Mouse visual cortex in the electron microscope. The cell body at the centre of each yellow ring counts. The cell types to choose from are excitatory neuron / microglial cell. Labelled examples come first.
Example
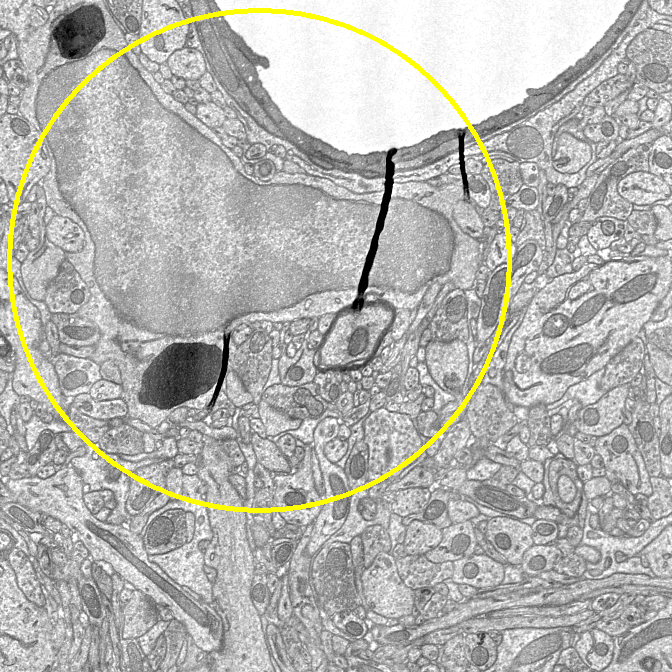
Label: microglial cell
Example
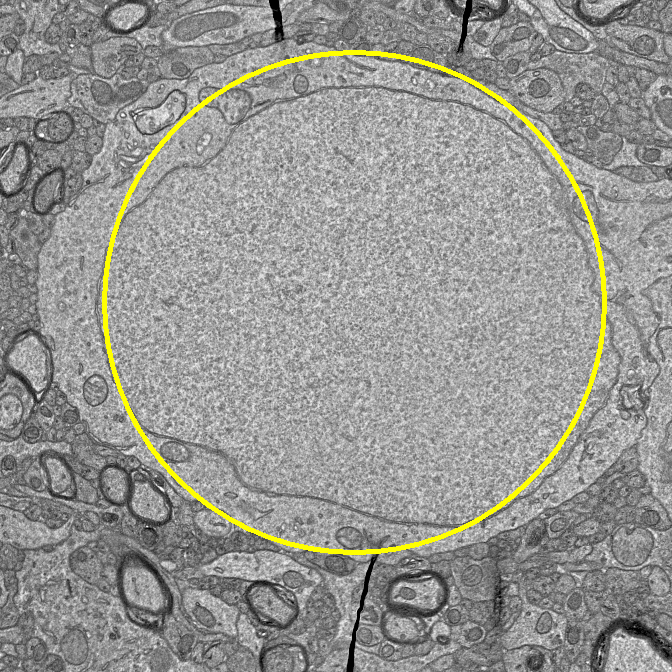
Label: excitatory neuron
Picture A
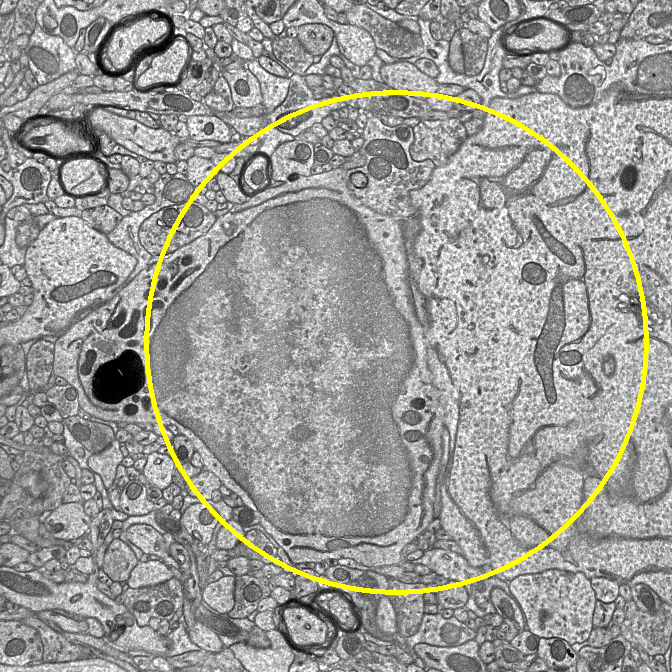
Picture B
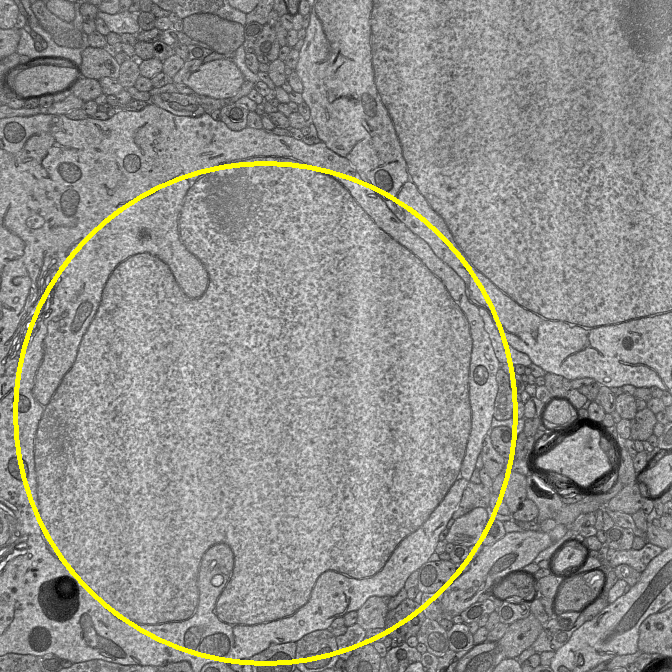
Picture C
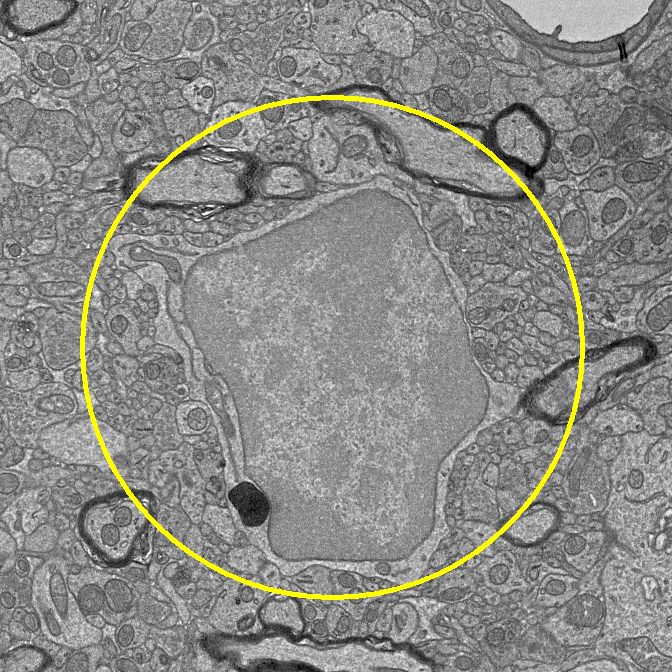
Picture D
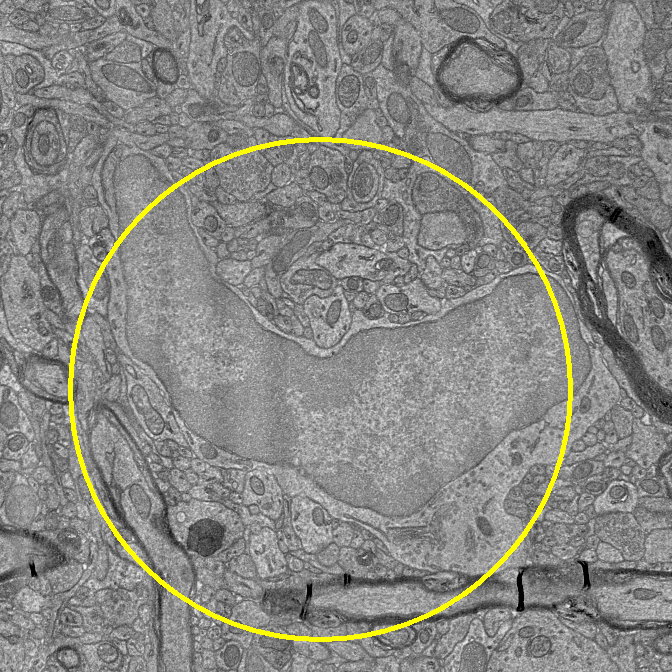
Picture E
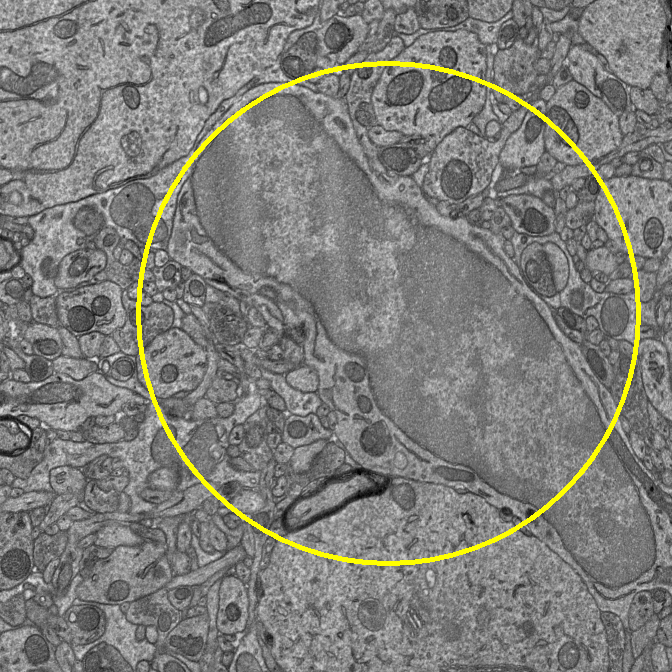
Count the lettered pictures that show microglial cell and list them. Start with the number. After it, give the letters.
4, namely A, C, D, E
